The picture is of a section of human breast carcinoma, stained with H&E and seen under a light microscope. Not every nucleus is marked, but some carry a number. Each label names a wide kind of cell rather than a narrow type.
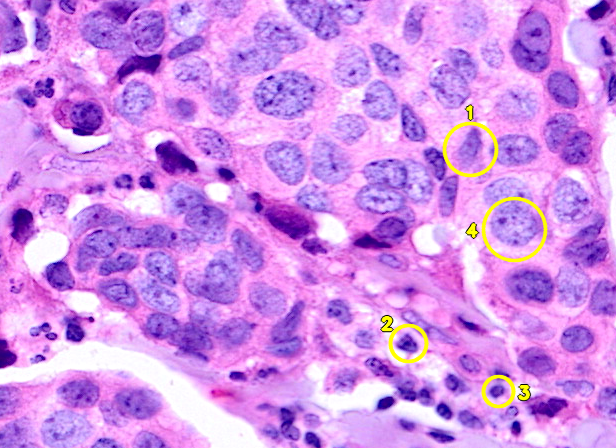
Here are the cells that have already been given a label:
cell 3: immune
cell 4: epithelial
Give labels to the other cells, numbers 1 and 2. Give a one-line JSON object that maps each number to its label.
{"1": "epithelial", "2": "immune"}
